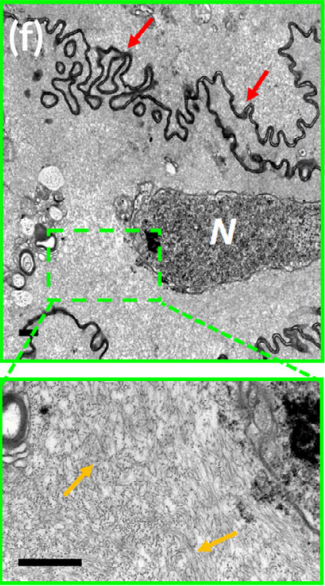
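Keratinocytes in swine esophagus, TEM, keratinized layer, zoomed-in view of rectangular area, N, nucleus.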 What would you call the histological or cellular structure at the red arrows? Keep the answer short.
cell borders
